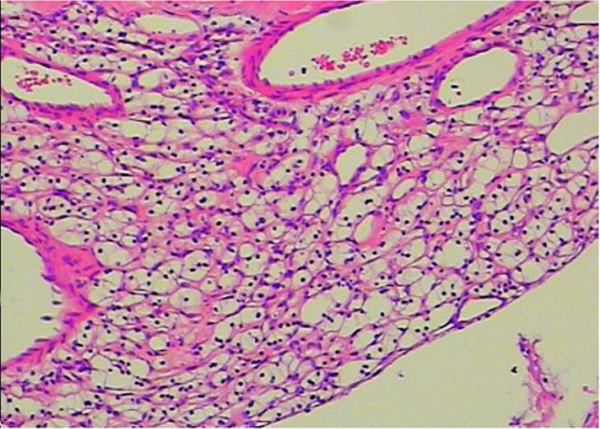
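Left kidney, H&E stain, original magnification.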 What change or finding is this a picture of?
the cytoplasm ranges from clear to pale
